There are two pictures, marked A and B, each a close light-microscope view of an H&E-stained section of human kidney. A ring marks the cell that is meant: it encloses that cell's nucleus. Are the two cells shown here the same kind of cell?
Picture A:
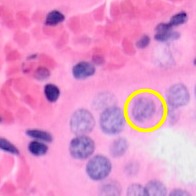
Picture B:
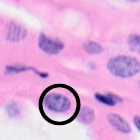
no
